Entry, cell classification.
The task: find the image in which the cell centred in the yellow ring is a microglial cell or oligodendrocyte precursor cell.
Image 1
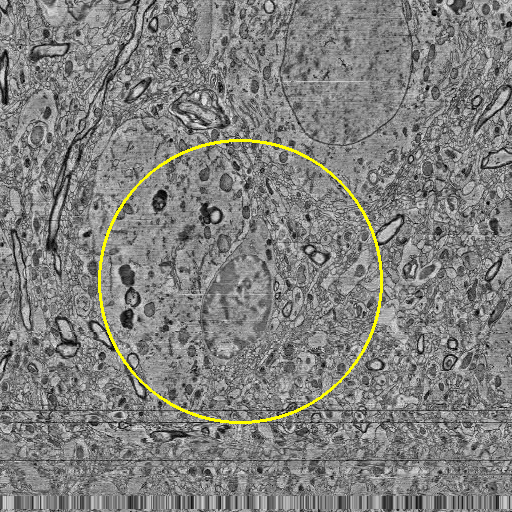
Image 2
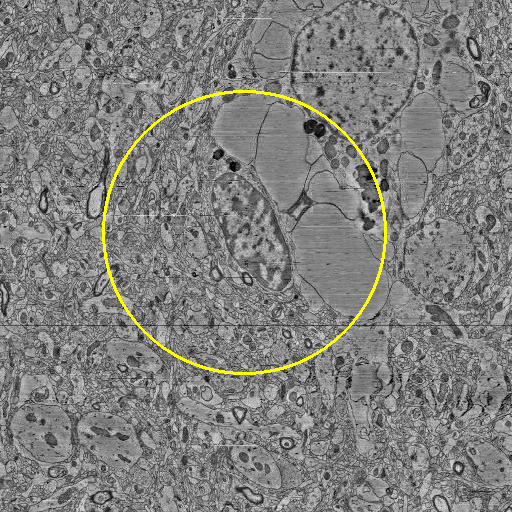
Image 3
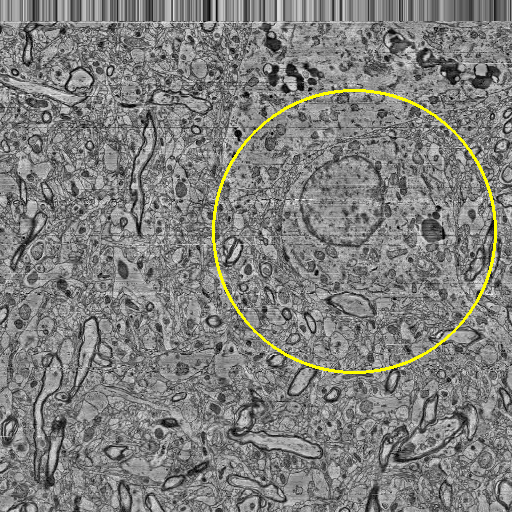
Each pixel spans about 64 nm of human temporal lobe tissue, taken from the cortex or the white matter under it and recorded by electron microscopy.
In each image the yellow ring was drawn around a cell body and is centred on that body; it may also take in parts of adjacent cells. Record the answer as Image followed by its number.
Image 2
